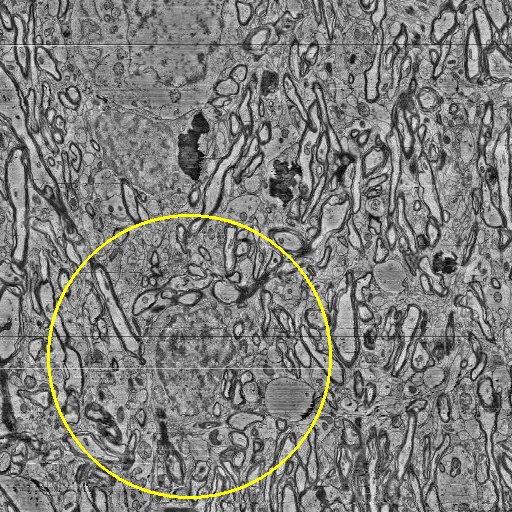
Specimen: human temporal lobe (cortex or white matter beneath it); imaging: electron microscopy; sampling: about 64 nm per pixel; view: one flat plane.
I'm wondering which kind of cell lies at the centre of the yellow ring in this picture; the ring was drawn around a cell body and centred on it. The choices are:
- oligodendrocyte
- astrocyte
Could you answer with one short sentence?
At the centre of the ring lies an oligodendrocyte.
